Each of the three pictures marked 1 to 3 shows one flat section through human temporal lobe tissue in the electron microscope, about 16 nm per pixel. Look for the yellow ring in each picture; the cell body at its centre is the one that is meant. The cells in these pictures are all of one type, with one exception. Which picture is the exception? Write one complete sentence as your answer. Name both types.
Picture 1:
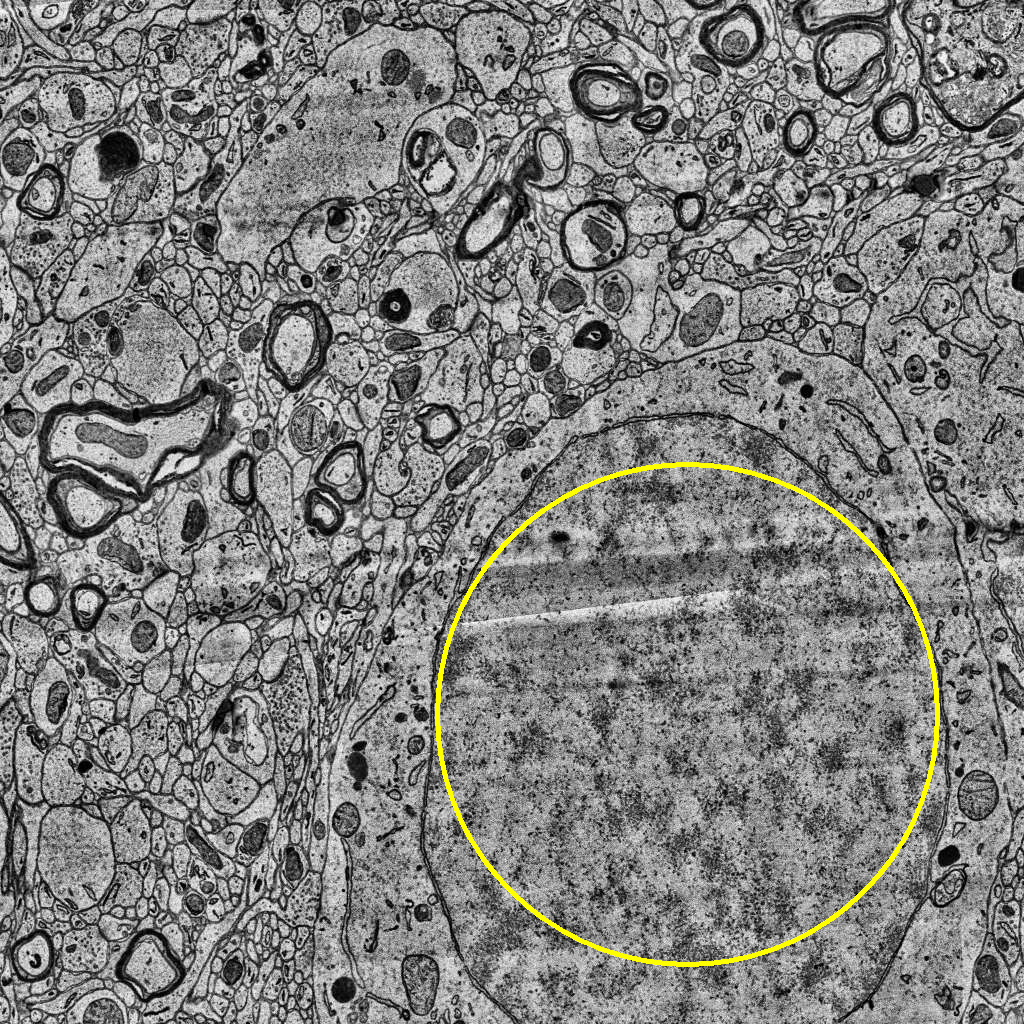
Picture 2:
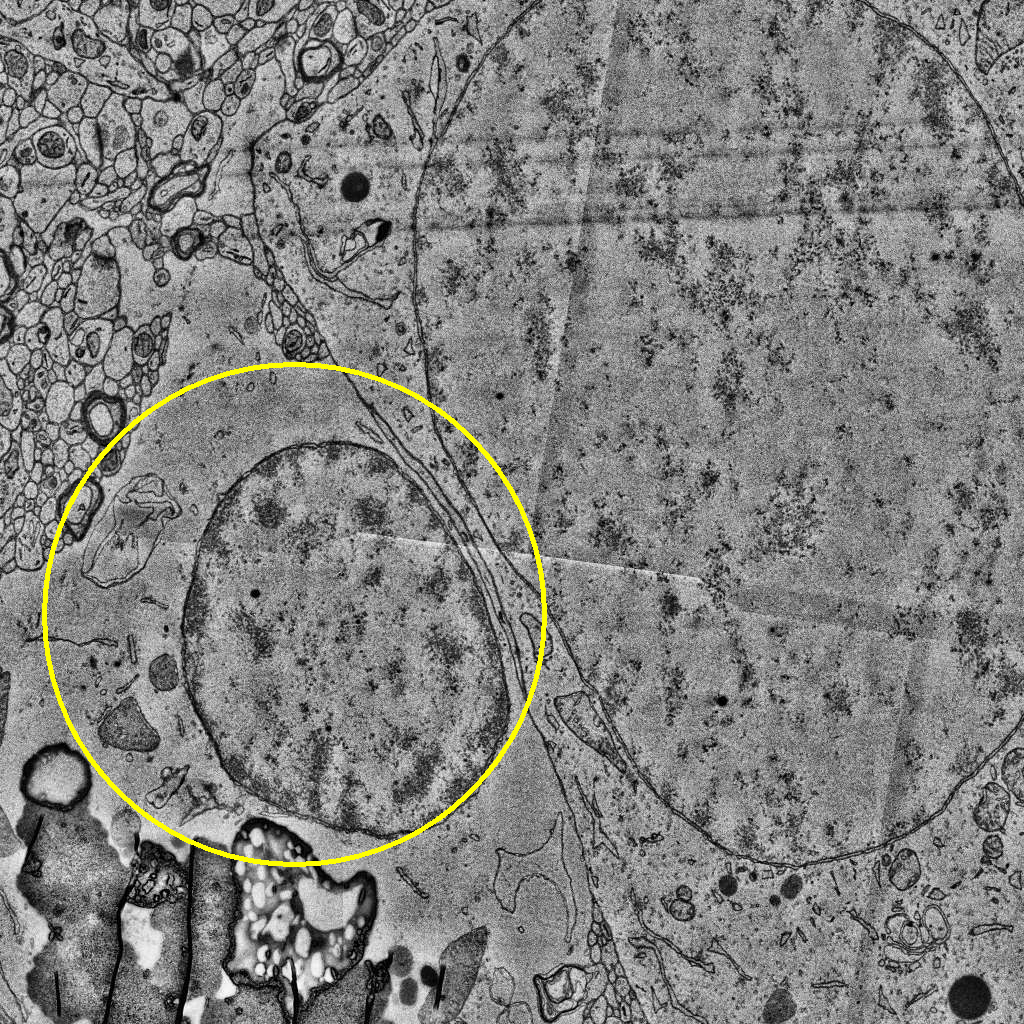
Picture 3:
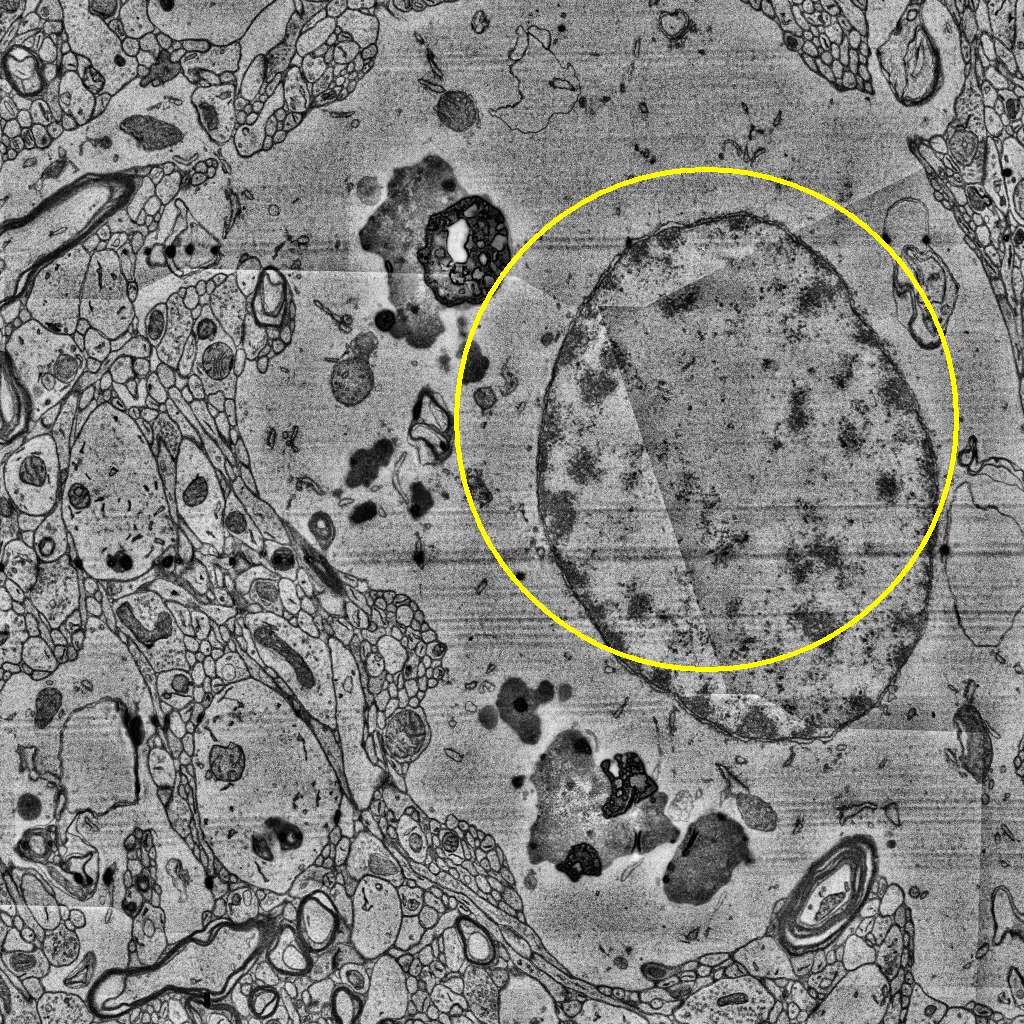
Picture 1 is the odd one out: it shows a pyramidal neuron, while the others show astrocytes.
